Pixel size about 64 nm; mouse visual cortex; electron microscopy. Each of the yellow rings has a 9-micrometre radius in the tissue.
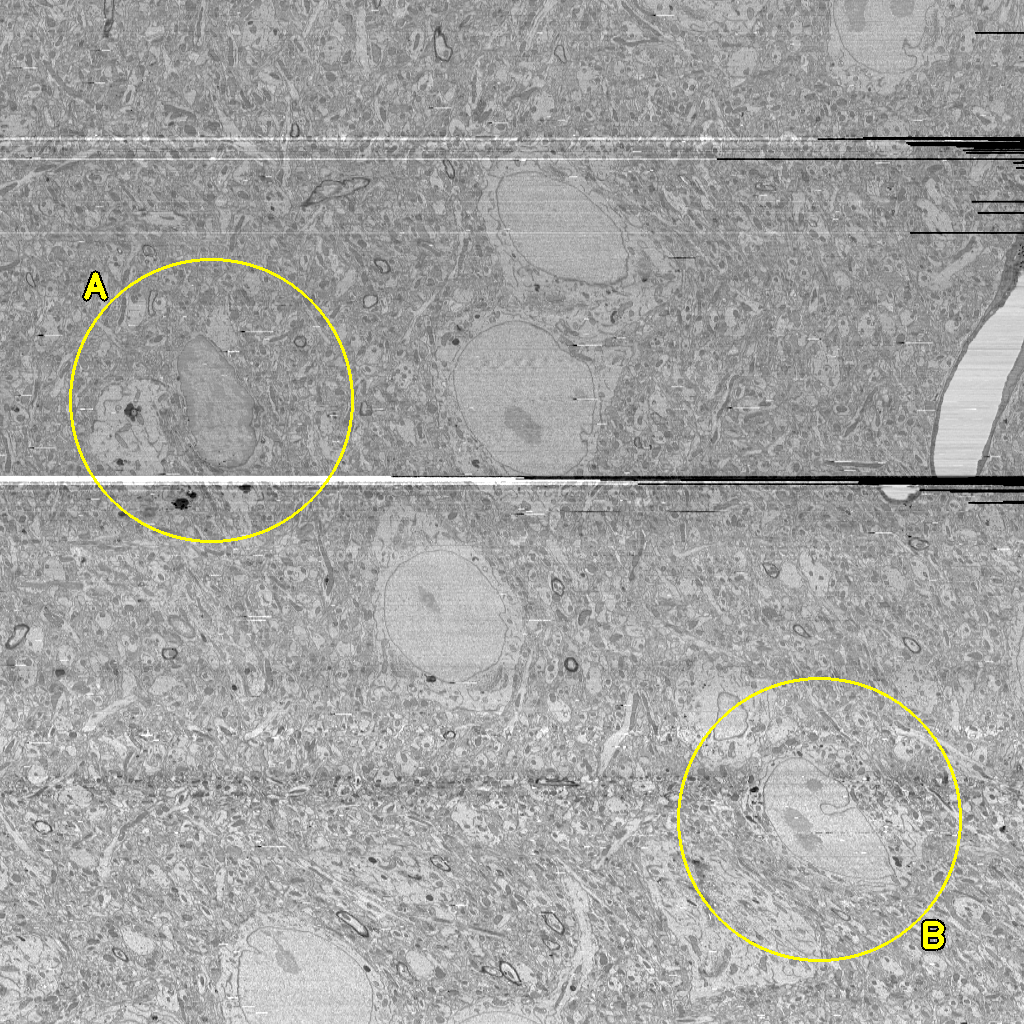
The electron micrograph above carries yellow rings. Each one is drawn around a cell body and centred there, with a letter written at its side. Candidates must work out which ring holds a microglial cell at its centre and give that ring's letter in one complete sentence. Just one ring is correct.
Letter A marks the ring whose centre holds that kind of cell.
